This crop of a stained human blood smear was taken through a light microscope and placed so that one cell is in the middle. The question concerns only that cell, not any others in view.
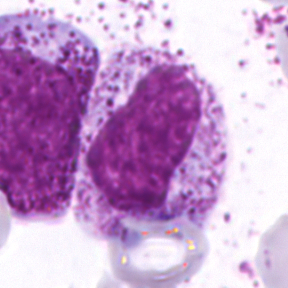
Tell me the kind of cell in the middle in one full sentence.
What the crop centres on is a band neutrophil.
